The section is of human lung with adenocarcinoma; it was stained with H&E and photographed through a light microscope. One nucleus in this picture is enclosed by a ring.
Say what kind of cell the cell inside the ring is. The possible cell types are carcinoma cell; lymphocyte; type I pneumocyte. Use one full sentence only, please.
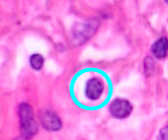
Microscopically, the cell inside the ring is categorized as a lymphocyte.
